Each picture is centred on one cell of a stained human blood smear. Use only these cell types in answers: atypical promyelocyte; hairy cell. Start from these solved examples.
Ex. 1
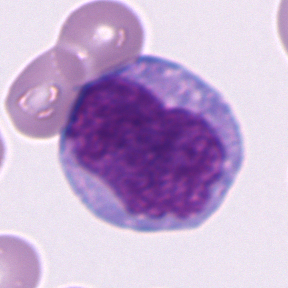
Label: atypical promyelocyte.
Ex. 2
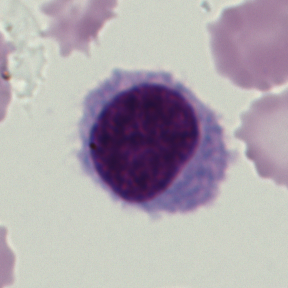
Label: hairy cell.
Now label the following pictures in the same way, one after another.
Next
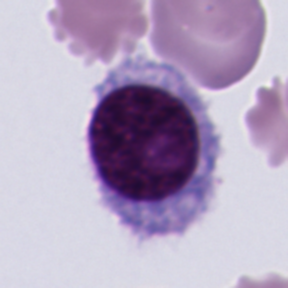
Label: hairy cell.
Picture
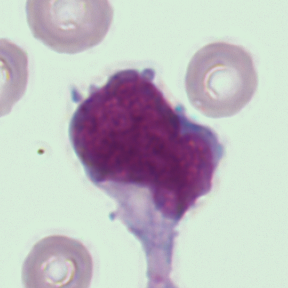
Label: atypical promyelocyte.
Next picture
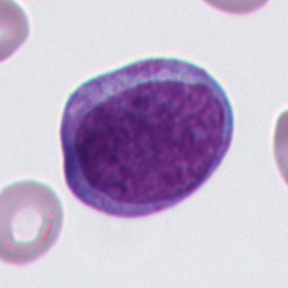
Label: atypical promyelocyte.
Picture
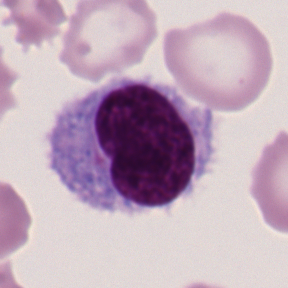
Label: hairy cell.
